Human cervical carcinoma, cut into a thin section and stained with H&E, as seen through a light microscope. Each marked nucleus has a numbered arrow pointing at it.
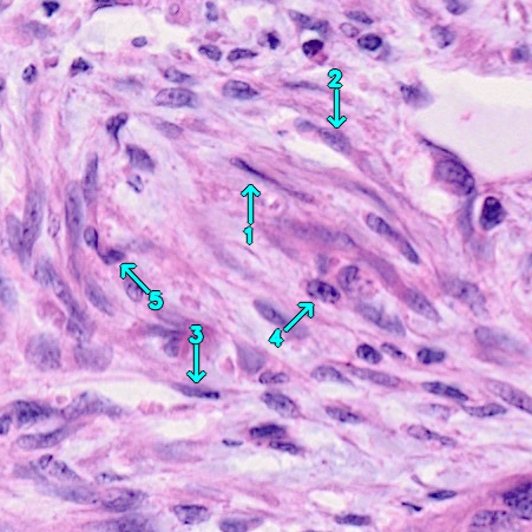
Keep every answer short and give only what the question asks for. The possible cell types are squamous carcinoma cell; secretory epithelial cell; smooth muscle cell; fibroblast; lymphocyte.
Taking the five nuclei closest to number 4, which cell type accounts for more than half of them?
fibroblast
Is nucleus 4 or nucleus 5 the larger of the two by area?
4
